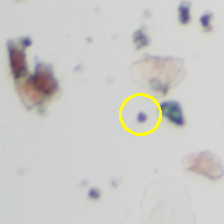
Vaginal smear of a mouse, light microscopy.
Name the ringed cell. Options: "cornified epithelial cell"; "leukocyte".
leukocyte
